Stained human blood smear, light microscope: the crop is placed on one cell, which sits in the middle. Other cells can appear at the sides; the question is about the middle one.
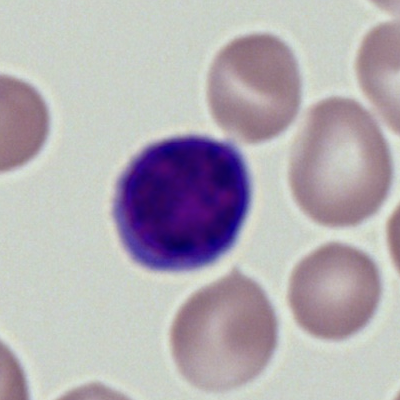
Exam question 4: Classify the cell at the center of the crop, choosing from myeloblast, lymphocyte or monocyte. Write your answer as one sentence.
The crop centres on a single cell, and that cell is a lymphocyte.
